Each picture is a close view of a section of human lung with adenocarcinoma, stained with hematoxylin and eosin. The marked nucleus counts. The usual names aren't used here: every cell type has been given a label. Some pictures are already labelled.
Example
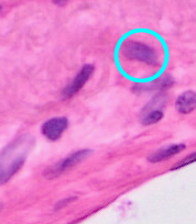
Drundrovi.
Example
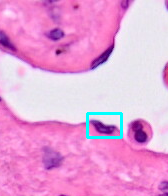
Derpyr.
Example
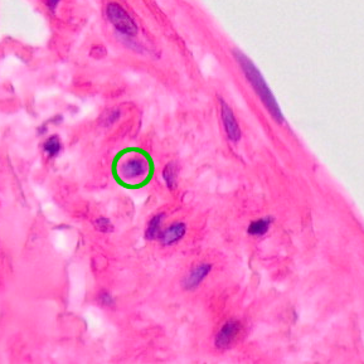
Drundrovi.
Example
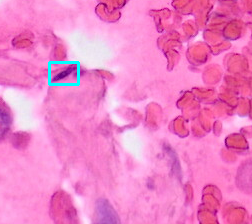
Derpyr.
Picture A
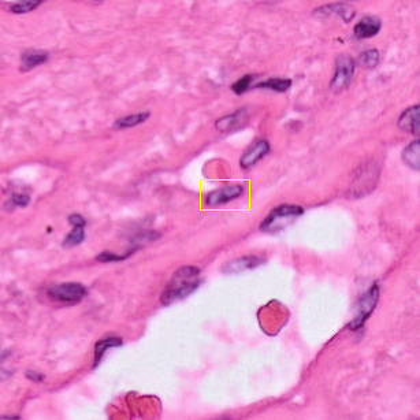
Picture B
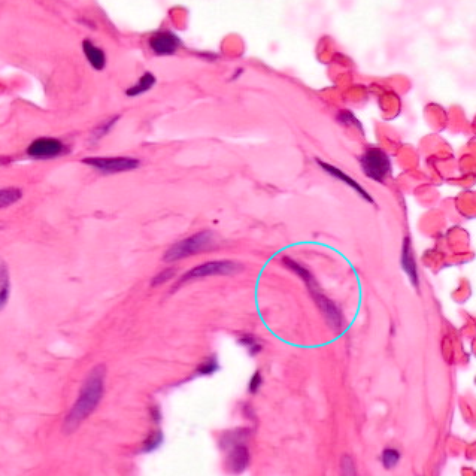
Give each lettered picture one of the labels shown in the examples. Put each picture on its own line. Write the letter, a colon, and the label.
A: Derpyr.
B: Drundrovi.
